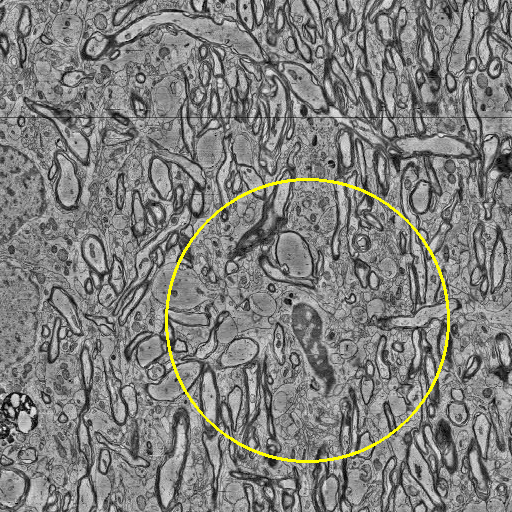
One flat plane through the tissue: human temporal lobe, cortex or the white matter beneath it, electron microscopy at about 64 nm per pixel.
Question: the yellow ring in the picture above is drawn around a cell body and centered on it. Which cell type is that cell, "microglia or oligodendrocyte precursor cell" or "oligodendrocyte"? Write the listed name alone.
microglia or oligodendrocyte precursor cell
